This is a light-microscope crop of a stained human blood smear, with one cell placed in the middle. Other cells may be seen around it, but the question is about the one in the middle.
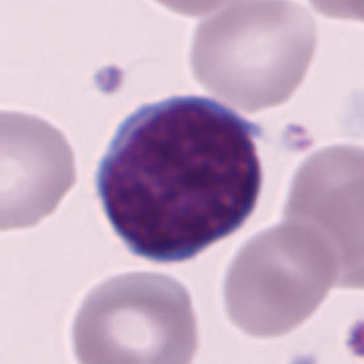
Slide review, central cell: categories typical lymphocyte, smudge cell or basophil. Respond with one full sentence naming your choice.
The cell occupying the middle of the crop is a typical lymphocyte.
